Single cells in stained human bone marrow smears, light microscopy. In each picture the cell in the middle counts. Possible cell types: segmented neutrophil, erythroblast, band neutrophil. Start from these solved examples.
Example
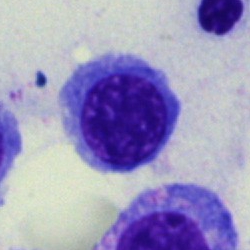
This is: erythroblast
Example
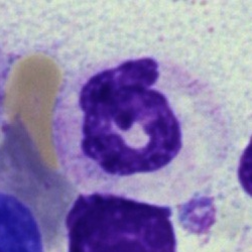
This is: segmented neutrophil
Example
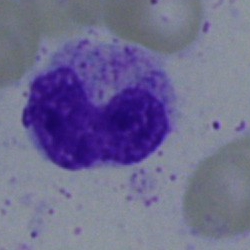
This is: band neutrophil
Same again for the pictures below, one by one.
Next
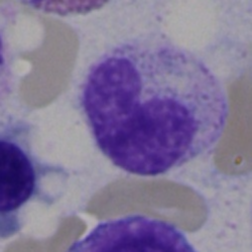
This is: band neutrophil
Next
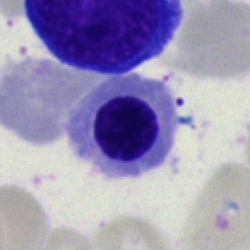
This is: erythroblast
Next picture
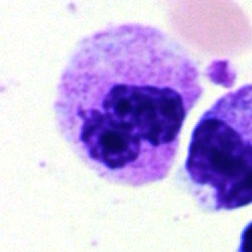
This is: segmented neutrophil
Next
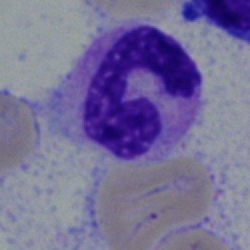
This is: band neutrophil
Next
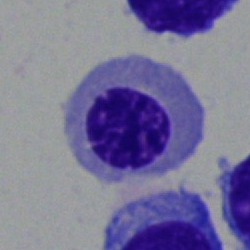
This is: erythroblast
